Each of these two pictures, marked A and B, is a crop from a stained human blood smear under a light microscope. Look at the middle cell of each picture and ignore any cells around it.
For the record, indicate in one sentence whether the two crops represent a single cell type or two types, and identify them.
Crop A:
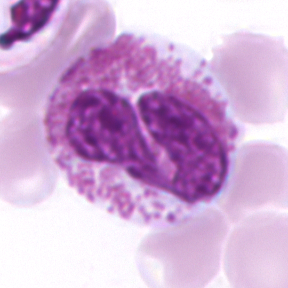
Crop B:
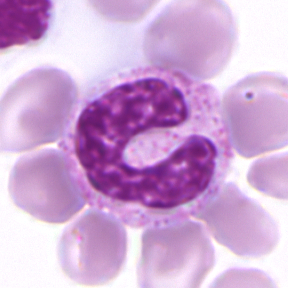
No, while an eosinophil is found in crop A, a band neutrophil is found in crop B.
